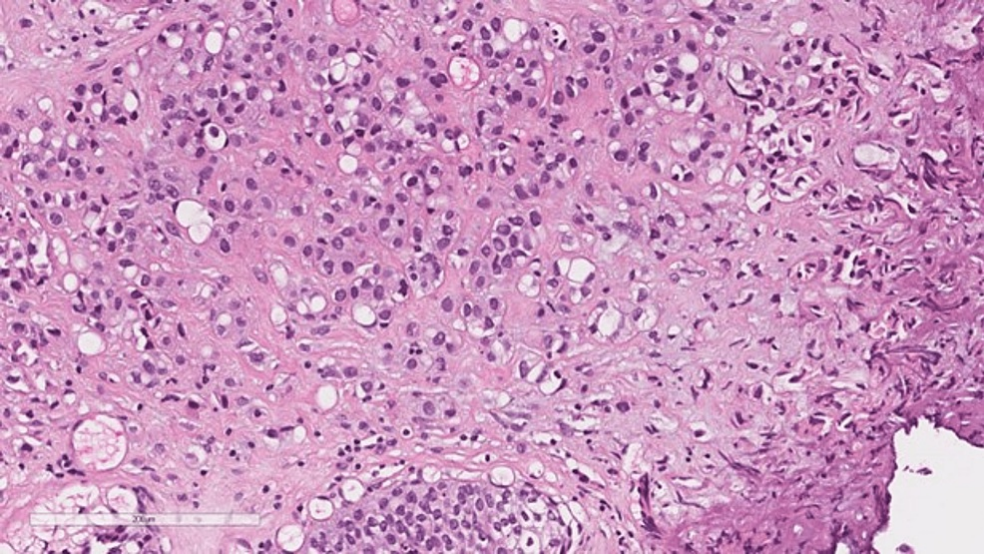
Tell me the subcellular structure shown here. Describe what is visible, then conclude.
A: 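Many cells hold round, clear, empty-looking spaces in their cytoplasm. Some clear spaces are large and push the nucleus aside.
Conclusion: vacuoles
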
